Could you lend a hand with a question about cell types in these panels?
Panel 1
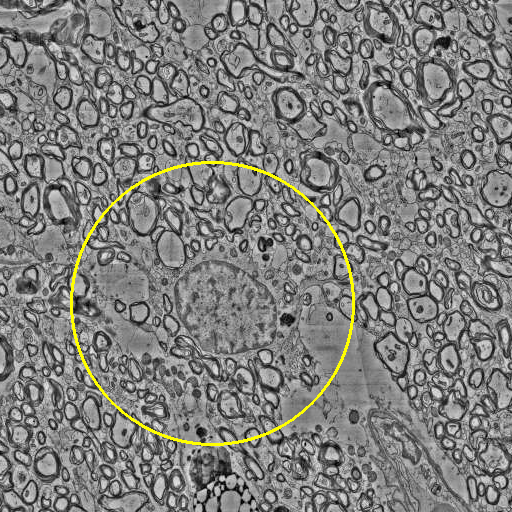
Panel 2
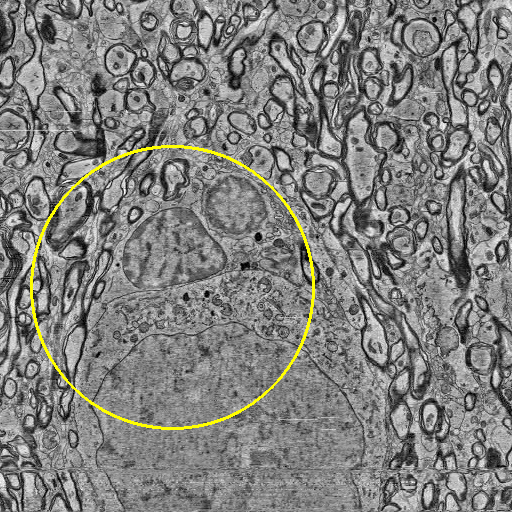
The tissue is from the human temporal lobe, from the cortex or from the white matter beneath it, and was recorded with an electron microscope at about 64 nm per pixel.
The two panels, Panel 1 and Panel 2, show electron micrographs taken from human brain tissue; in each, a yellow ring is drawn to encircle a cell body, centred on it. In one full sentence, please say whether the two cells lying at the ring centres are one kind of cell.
No, the cells at the ring centres in the two panels are two kinds of cell.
